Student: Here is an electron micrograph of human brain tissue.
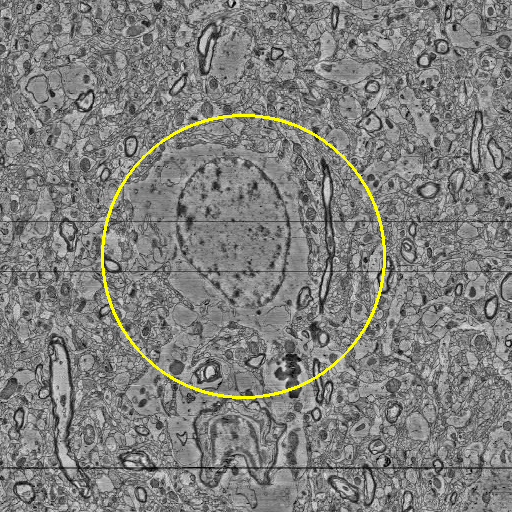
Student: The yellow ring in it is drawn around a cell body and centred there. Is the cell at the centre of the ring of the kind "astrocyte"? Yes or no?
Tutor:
yes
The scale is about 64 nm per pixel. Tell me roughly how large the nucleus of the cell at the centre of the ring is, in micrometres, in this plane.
In this plane, about 10 micrometres in length and 7 in width.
